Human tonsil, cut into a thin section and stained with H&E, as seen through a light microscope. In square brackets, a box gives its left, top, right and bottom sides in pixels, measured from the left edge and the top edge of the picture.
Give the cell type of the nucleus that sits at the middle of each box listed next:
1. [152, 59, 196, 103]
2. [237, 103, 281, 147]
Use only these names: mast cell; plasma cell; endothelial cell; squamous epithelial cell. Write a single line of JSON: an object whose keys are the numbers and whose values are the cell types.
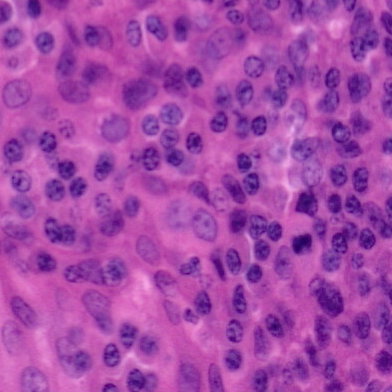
{"1": "squamous epithelial cell", "2": "plasma cell"}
